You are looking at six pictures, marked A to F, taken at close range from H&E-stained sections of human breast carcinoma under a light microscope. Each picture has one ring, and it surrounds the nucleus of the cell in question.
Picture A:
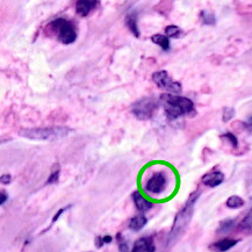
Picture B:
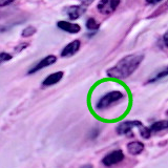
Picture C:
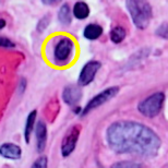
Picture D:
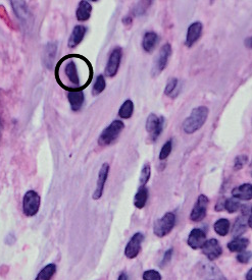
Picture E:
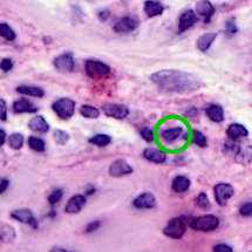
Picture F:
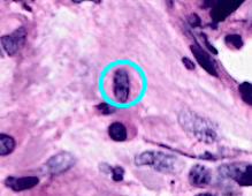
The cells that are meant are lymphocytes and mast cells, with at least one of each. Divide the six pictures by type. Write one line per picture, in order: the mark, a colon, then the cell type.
A: lymphocyte
B: lymphocyte
C: mast cell
D: lymphocyte
E: lymphocyte
F: mast cell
